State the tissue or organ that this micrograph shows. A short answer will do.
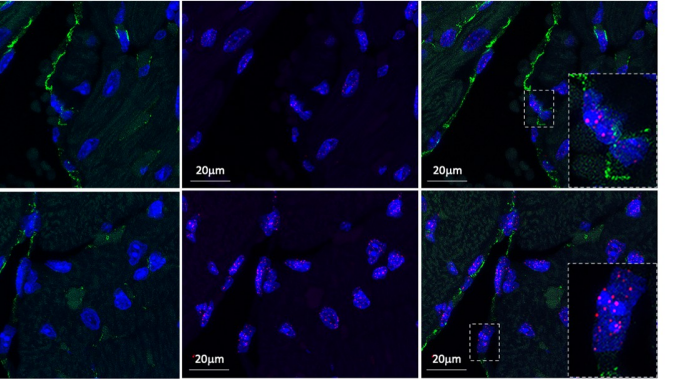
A: Heart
